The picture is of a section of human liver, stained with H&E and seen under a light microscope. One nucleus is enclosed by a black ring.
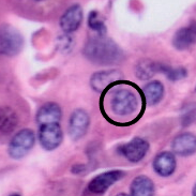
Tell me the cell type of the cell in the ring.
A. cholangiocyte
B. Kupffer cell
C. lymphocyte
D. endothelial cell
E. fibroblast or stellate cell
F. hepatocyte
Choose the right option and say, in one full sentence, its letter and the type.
Option A is right, and the cell in the ring is a cholangiocyte.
